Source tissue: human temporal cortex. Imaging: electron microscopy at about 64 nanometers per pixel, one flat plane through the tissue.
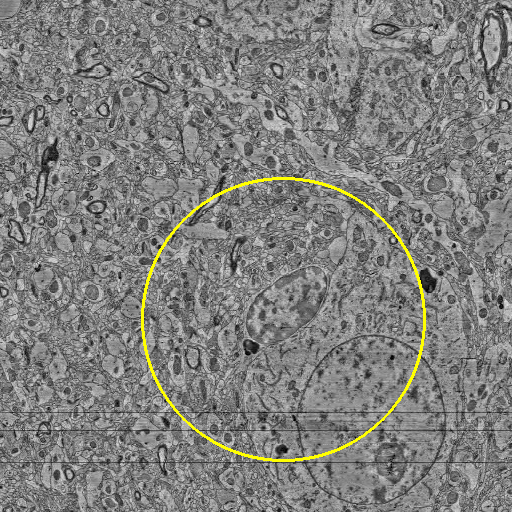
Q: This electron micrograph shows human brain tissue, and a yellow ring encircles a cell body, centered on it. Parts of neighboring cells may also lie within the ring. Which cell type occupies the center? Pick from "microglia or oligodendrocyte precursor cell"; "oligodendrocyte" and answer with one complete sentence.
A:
What sits at the ring's center in this micrograph is a microglial cell or oligodendrocyte precursor cell, among those choices.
